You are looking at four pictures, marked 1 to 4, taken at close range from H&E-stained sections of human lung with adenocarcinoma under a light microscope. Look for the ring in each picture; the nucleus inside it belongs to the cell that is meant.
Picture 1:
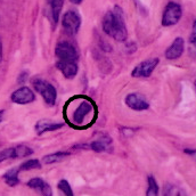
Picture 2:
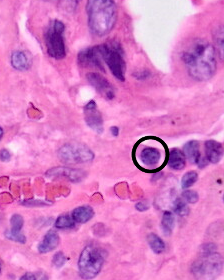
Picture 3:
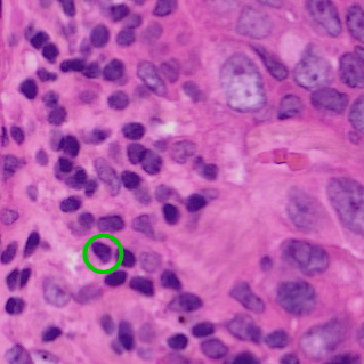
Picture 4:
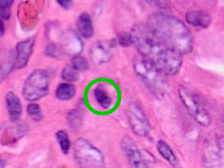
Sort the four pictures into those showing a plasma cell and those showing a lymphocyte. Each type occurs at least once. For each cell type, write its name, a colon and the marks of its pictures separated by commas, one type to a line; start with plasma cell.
plasma cell: 1
lymphocyte: 2, 3, 4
